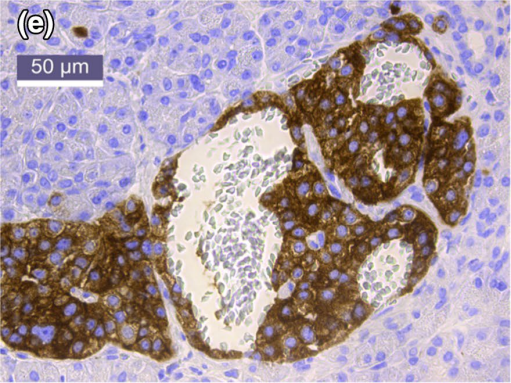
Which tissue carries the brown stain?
islet tissue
